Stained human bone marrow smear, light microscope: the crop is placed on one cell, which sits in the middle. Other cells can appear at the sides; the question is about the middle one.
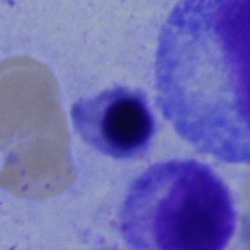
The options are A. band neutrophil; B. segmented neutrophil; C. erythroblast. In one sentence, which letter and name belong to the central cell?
Option C is the correct selection, for the cell at the centre is an erythroblast.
